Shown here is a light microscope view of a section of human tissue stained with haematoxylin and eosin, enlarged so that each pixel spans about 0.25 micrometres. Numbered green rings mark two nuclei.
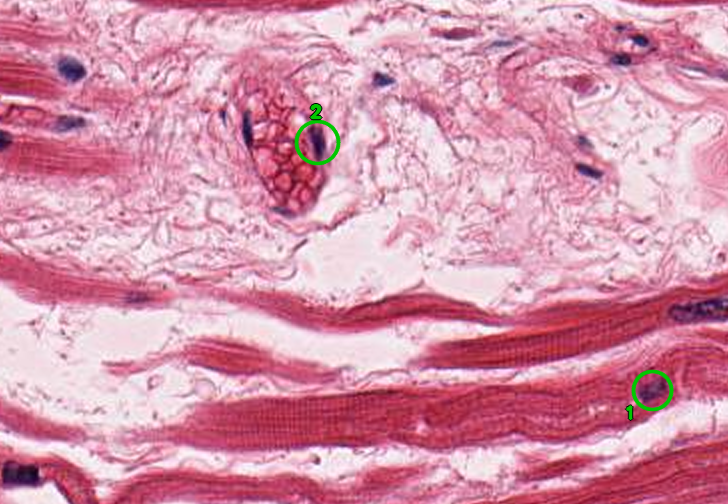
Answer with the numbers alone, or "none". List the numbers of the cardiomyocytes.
1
